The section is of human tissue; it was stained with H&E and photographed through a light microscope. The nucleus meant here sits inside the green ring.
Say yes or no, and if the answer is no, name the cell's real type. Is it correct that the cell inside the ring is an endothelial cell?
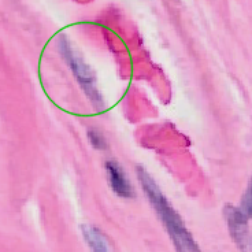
Yes.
